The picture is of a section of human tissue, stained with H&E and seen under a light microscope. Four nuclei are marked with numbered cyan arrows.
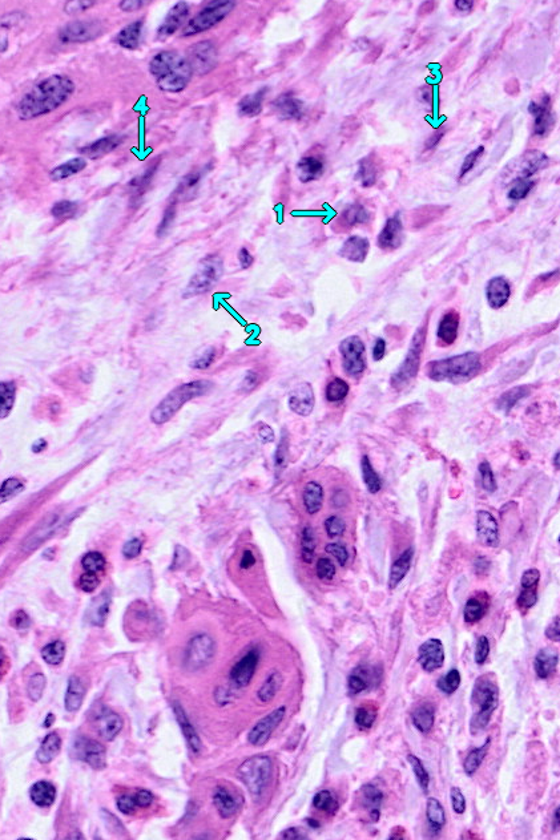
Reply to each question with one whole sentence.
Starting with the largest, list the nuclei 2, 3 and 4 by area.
By area, largest first, they run 2, 4, 3.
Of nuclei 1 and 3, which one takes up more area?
Nucleus 1 is the larger one, covering about 3 times the area of nucleus 3.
